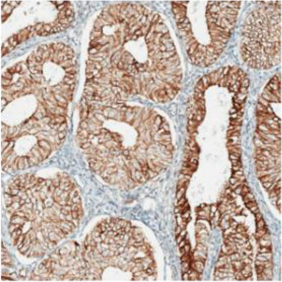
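Tumour epithelium forms rounded nests and glands with open lumens, separated by bands of pale blue-stained stroma. Brown staining outlines the tumour cell borders, giving a net-like membranous pattern, while the stroma stays largely unstained.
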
